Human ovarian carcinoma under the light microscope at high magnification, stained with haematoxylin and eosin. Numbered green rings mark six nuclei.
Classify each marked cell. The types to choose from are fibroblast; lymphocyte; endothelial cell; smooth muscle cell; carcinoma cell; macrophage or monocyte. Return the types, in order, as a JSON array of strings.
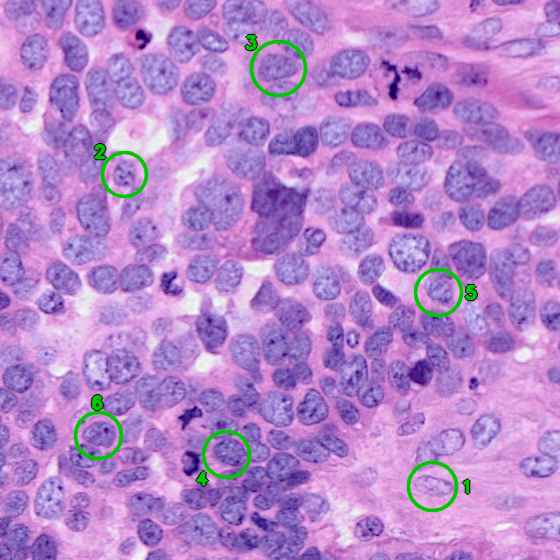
["fibroblast", "macrophage or monocyte", "carcinoma cell", "carcinoma cell", "carcinoma cell", "carcinoma cell"]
